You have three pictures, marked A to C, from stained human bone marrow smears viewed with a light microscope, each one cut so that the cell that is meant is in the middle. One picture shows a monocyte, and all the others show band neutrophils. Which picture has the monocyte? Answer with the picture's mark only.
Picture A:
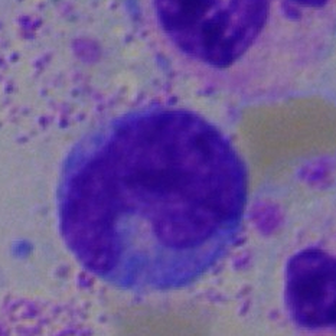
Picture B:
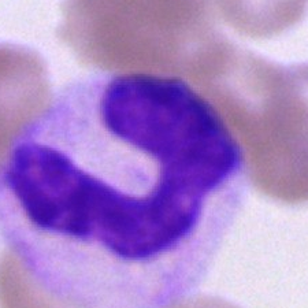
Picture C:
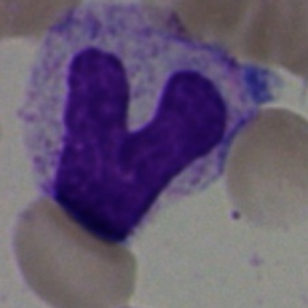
A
